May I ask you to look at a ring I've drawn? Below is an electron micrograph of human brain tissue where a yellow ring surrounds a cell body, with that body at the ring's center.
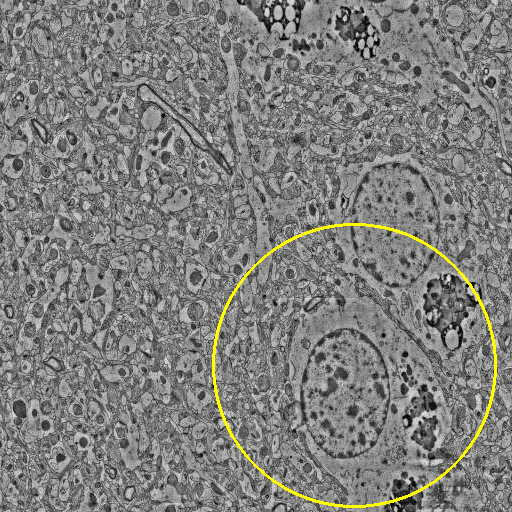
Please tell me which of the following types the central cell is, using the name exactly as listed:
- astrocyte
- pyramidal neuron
astrocyte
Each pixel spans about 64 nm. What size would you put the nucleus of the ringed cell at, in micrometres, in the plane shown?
About 8 by 6 micrometres in this plane.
